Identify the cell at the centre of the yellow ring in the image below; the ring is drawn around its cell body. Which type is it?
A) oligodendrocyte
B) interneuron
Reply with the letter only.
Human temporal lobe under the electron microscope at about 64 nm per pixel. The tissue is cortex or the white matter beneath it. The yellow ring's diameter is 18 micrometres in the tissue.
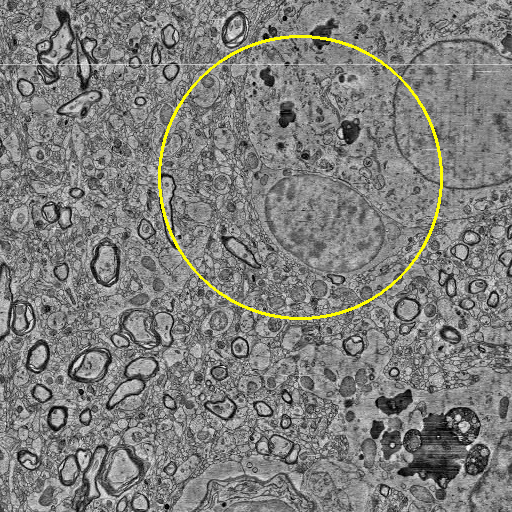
A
